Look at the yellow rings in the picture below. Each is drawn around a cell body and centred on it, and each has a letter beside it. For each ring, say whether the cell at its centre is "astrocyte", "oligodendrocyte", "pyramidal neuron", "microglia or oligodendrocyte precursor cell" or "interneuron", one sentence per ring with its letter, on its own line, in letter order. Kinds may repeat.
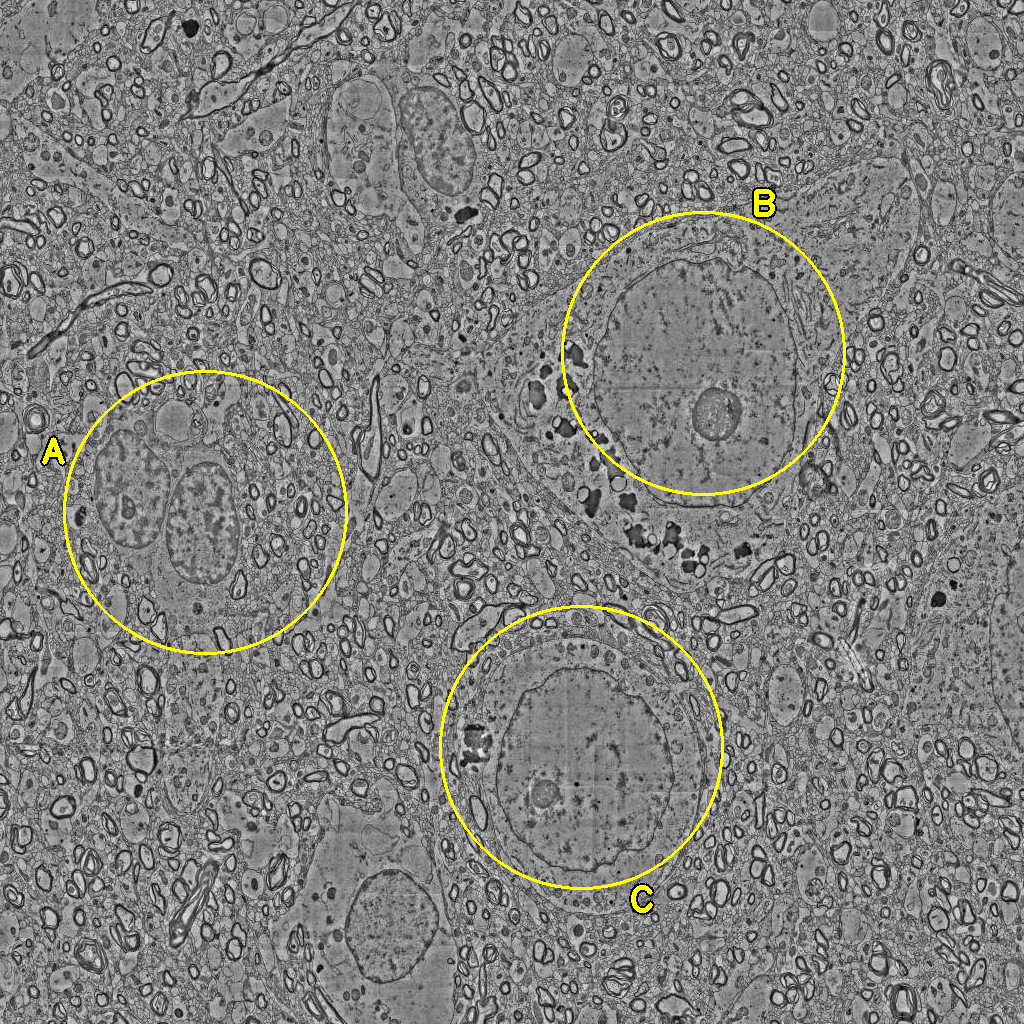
The centred cell of ring A is an oligodendrocyte.
The centred cell of ring B is a pyramidal neuron.
The centred cell of ring C is a pyramidal neuron.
